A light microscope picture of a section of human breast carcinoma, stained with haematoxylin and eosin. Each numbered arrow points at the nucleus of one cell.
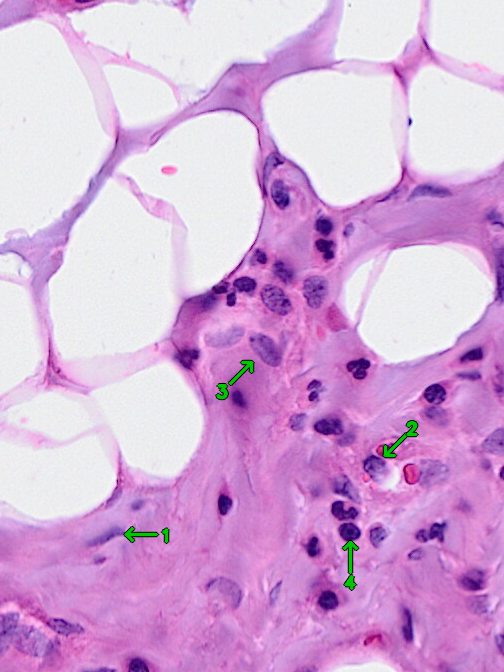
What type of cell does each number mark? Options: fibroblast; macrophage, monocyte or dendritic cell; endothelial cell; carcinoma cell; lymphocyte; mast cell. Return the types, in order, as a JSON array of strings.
["fibroblast", "endothelial cell", "fibroblast", "lymphocyte"]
